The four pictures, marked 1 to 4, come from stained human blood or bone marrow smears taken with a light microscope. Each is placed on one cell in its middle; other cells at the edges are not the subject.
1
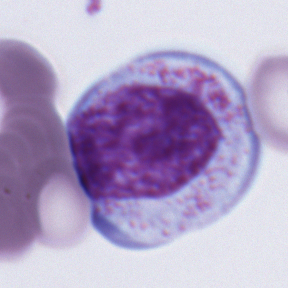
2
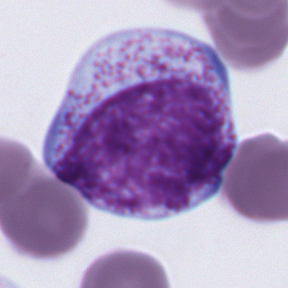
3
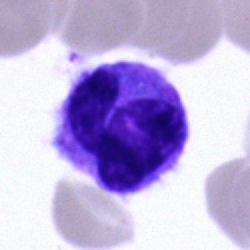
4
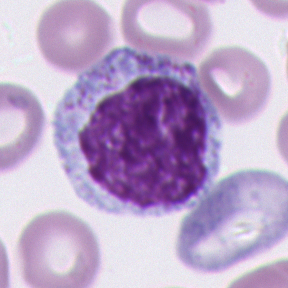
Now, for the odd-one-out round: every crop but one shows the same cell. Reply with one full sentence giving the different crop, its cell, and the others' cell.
Crop 3 is a monocyte, the one exception to the myelocytes of the other crops.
